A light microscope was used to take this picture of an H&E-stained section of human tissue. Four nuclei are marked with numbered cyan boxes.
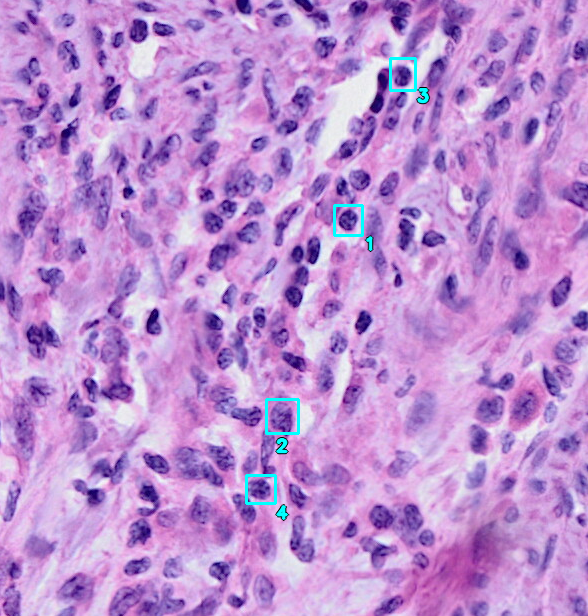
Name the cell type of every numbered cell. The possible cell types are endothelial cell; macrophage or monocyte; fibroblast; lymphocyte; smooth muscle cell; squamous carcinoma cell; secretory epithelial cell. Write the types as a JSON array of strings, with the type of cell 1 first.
["lymphocyte", "macrophage or monocyte", "lymphocyte", "lymphocyte"]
